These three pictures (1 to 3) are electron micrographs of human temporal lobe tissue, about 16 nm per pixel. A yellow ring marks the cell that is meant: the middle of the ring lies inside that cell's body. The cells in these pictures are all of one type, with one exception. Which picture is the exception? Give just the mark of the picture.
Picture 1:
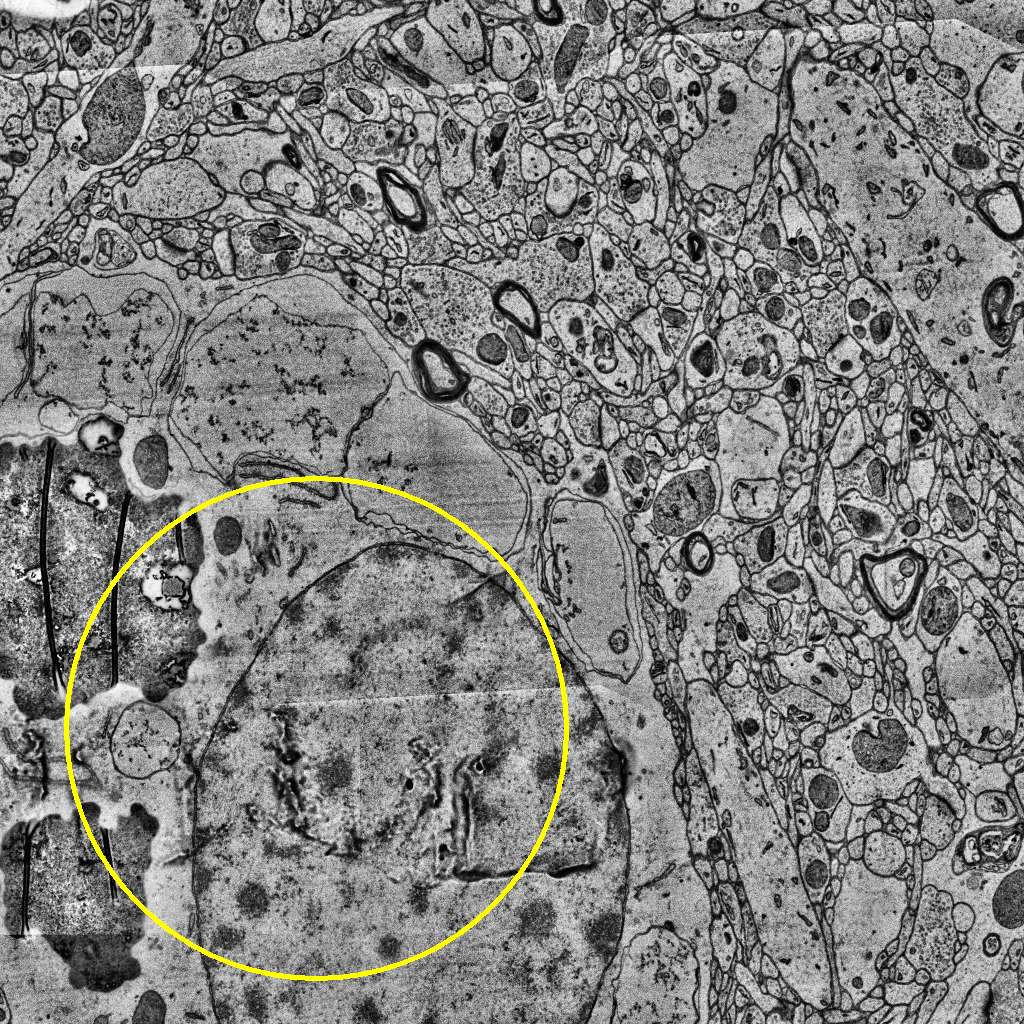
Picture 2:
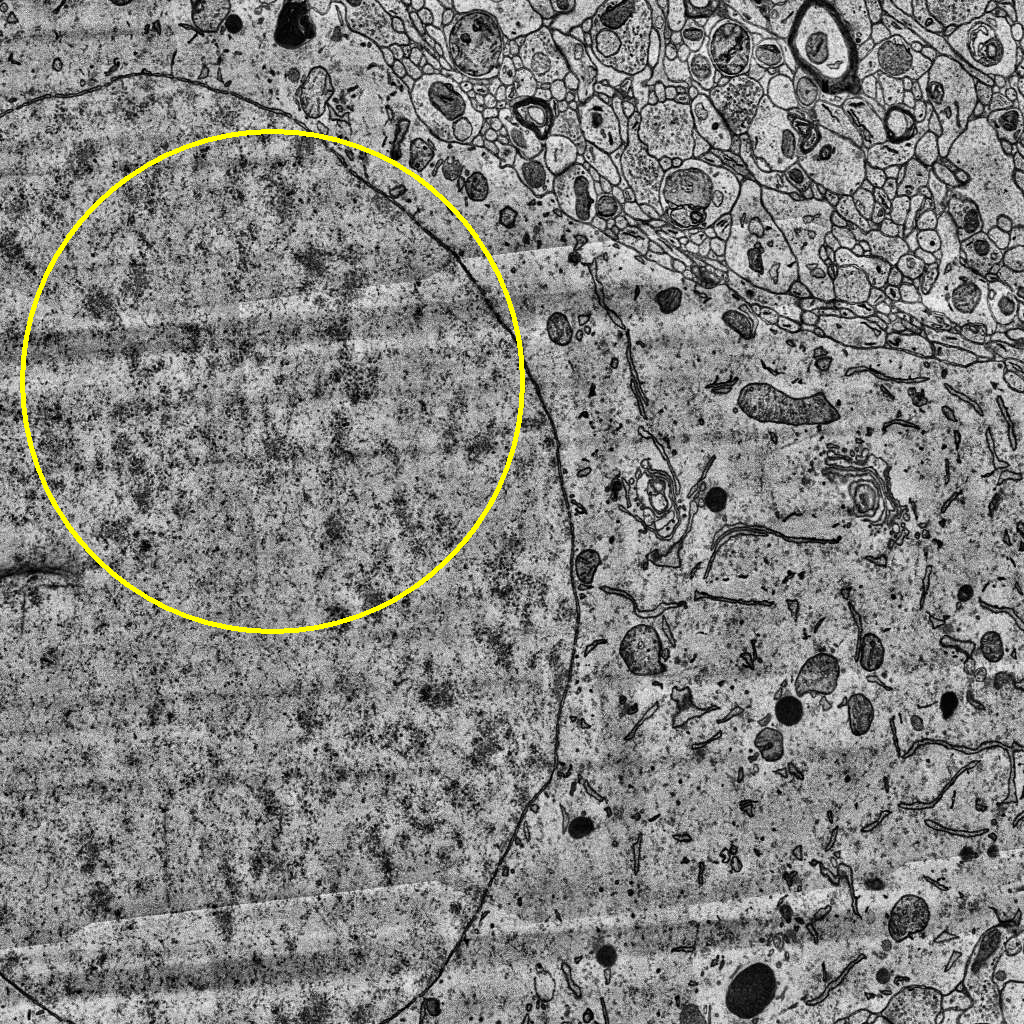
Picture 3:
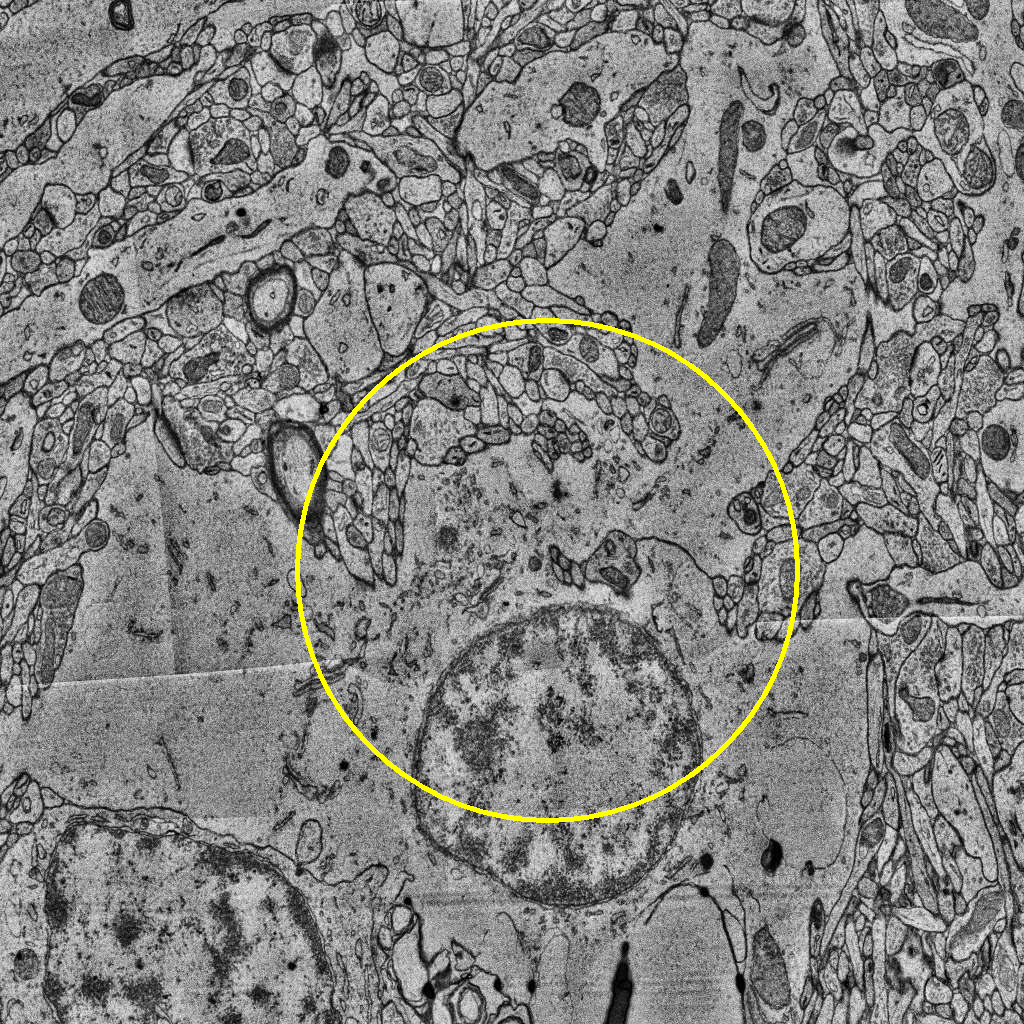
2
